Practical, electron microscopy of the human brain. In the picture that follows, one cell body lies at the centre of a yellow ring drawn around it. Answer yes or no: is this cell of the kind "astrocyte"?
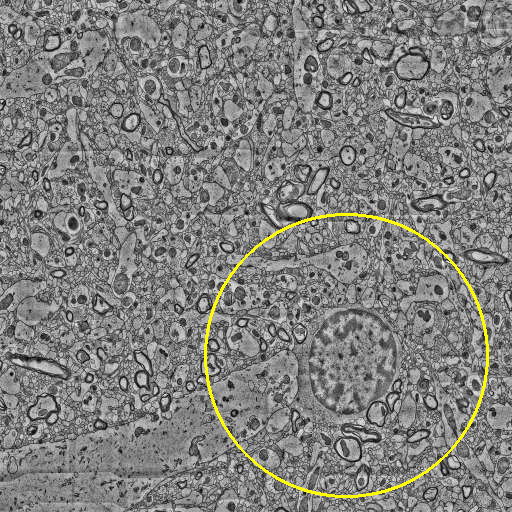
no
